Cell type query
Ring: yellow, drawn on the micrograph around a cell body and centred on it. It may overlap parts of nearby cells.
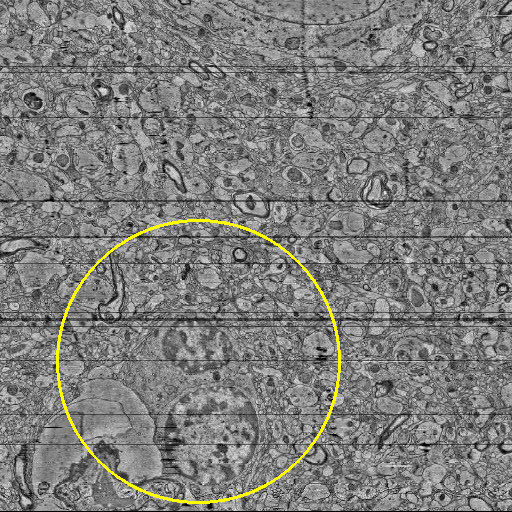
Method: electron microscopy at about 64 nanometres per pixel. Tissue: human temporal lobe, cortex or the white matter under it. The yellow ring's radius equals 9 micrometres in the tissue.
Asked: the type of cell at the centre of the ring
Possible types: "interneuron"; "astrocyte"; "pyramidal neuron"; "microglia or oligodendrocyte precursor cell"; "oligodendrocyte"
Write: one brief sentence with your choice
The ring marks an oligodendrocyte.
